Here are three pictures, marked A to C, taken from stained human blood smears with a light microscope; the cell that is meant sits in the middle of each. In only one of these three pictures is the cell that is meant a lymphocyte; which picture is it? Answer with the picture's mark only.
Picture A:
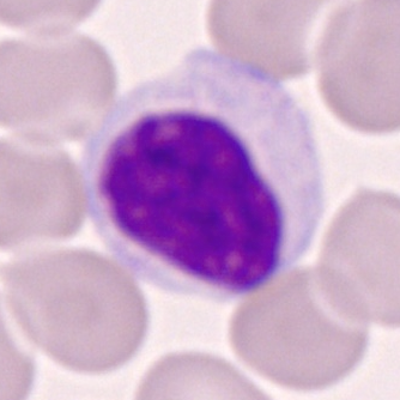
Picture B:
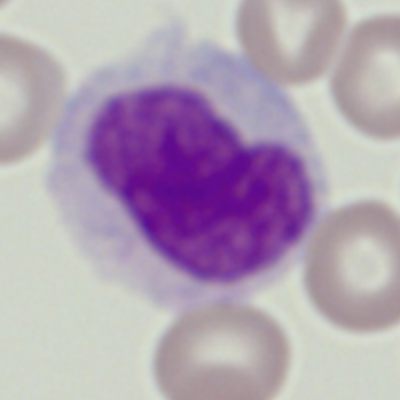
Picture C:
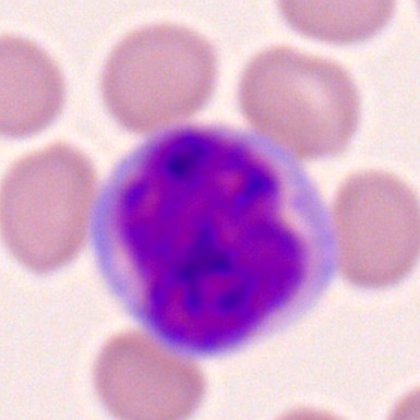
A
